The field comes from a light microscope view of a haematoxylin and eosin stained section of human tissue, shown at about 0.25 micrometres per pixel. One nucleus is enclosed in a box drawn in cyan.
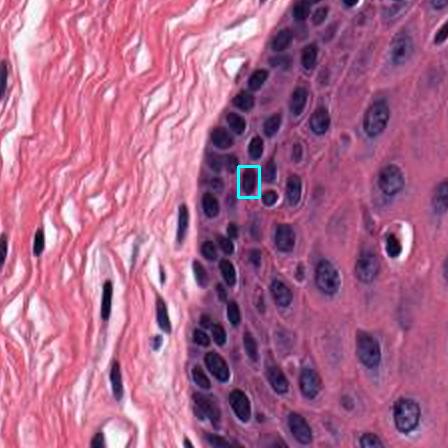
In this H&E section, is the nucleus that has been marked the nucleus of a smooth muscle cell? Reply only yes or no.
no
